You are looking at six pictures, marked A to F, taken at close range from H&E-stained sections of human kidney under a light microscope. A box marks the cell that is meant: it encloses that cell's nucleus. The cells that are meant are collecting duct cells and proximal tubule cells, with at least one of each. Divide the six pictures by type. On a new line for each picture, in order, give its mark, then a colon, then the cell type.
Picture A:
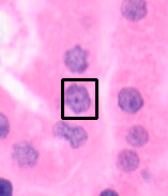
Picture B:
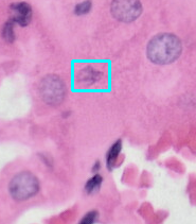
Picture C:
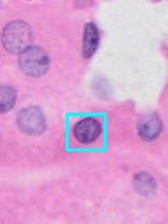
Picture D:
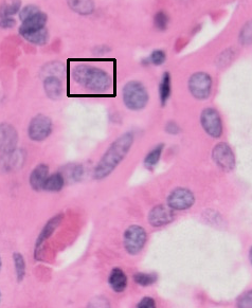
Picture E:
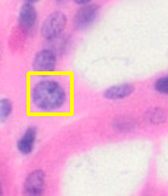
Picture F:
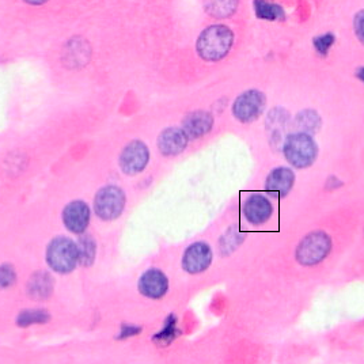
A: proximal tubule cell
B: proximal tubule cell
C: proximal tubule cell
D: collecting duct cell
E: collecting duct cell
F: collecting duct cell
